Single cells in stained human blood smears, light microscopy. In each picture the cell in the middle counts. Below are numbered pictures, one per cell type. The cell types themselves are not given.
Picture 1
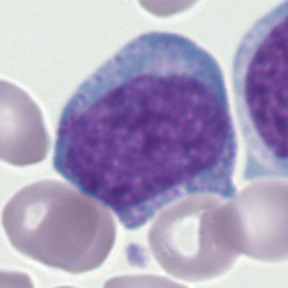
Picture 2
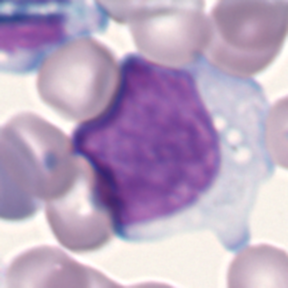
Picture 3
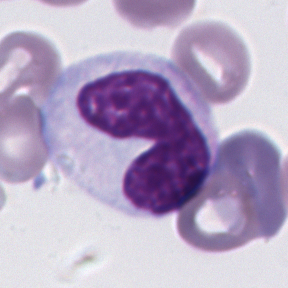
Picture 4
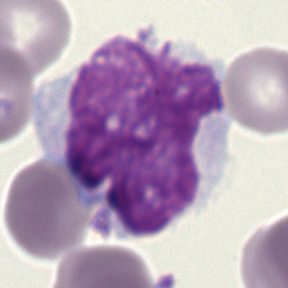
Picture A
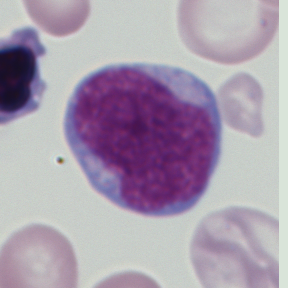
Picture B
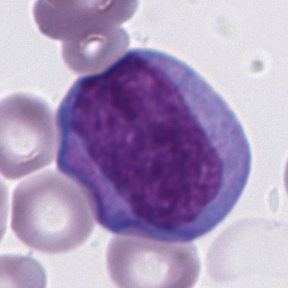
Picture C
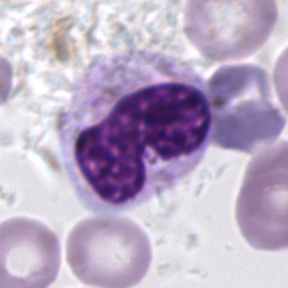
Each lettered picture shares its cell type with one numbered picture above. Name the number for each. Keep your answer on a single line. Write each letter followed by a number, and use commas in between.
A 2, B 1, C 3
